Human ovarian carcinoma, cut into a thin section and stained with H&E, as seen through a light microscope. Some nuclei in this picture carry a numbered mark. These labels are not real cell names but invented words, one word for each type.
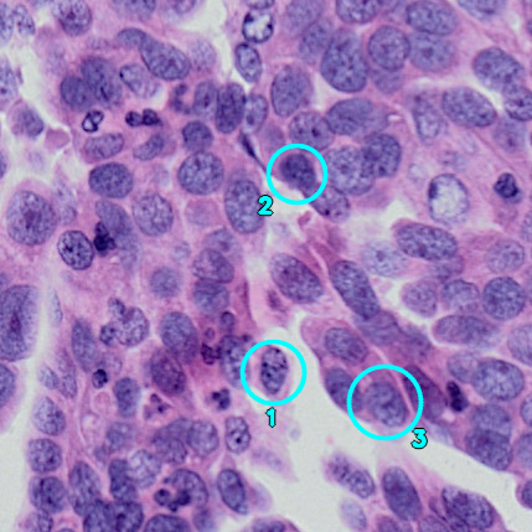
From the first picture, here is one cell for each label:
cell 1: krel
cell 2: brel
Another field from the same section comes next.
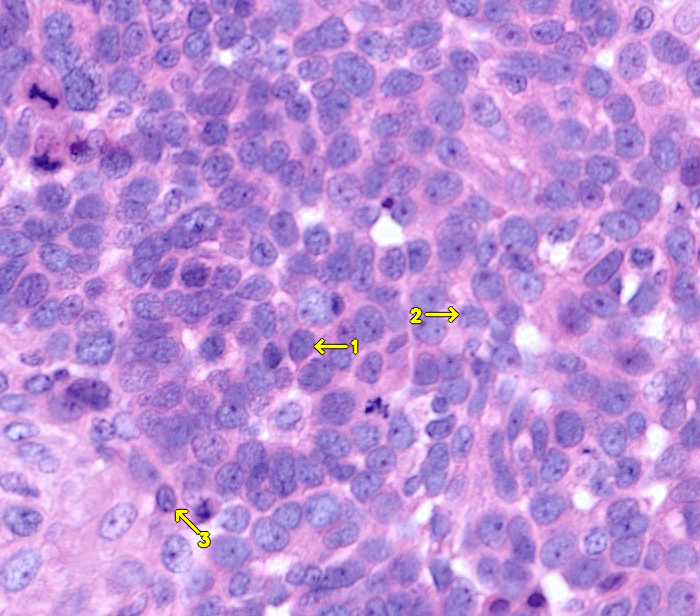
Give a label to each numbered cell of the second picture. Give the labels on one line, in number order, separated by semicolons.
brel; brel; krel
